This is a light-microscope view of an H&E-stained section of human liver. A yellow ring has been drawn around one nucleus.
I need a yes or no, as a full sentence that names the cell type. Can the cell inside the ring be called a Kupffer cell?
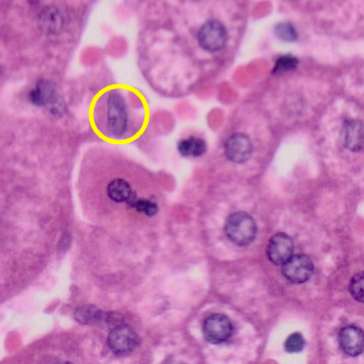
Yes, the cell inside the ring qualifies as a Kupffer cell in this section.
